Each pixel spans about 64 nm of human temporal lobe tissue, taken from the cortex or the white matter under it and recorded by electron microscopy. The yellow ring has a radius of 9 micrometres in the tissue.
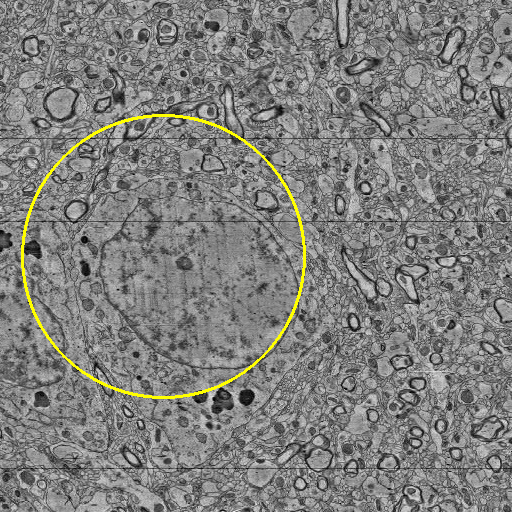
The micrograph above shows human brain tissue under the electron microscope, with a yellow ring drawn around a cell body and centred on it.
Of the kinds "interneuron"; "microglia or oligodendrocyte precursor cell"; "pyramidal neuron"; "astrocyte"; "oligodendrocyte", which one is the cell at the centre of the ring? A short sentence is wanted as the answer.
The one at the centre of the ring is a pyramidal neuron.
